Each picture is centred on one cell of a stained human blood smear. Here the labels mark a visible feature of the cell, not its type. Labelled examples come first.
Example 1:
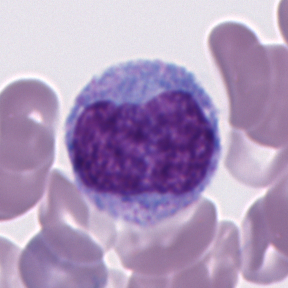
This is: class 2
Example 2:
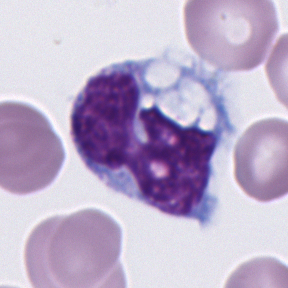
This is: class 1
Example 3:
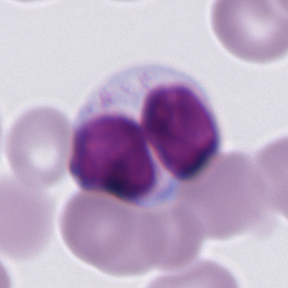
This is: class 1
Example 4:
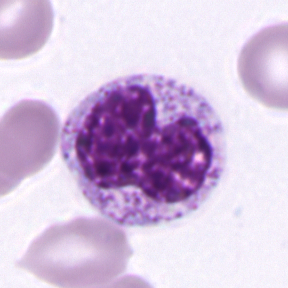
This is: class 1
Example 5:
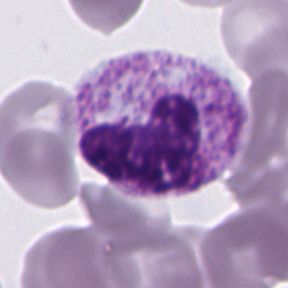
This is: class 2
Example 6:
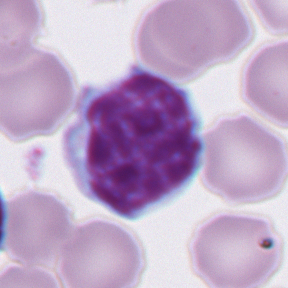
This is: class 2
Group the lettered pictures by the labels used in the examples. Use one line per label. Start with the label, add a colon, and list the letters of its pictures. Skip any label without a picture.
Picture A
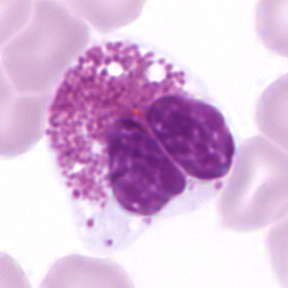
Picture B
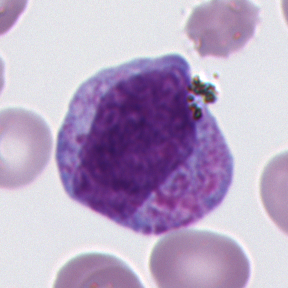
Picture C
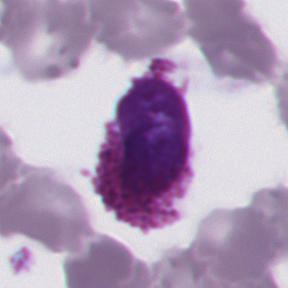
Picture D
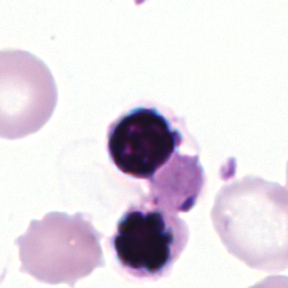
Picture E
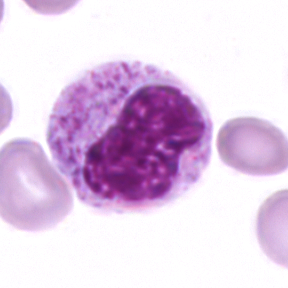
class 2: B, C, D
class 1: A, E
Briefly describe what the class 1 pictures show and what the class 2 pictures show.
class 1, lobed nucleus; class 2, single compact nucleus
